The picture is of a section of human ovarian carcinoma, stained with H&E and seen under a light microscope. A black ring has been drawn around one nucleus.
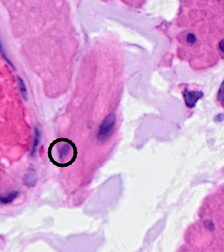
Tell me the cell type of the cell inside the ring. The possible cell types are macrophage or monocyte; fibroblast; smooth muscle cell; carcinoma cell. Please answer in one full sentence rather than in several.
With respect to cell type, the cell inside the ring is a smooth muscle cell.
